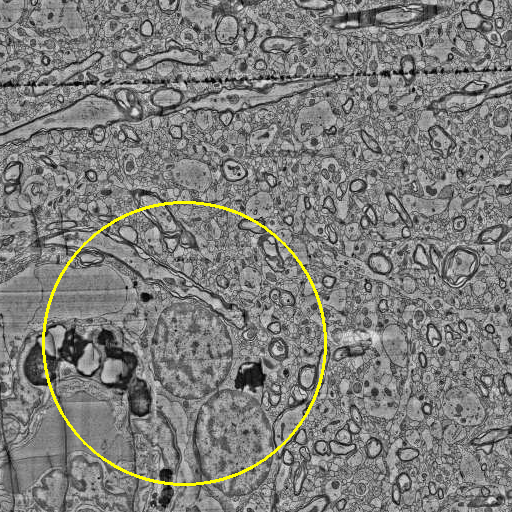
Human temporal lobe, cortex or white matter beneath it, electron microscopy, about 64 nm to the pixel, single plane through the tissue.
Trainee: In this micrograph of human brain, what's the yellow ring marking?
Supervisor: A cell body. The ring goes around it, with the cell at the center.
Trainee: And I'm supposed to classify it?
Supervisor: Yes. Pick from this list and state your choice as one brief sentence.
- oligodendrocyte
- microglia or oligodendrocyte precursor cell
The cell at the ring's center is an oligodendrocyte.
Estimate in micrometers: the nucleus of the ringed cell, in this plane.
Roughly 7 by 5 micrometres is the size of the nucleus in this plane.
